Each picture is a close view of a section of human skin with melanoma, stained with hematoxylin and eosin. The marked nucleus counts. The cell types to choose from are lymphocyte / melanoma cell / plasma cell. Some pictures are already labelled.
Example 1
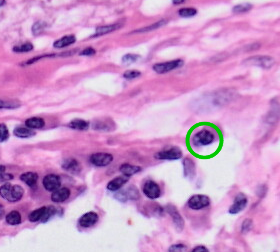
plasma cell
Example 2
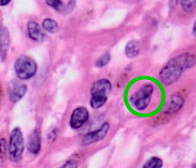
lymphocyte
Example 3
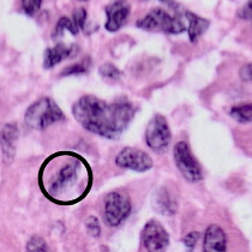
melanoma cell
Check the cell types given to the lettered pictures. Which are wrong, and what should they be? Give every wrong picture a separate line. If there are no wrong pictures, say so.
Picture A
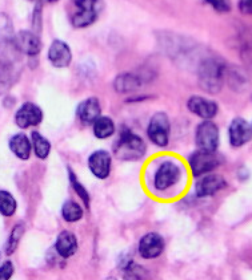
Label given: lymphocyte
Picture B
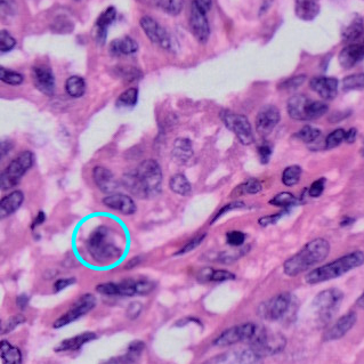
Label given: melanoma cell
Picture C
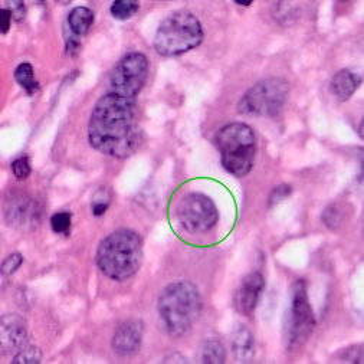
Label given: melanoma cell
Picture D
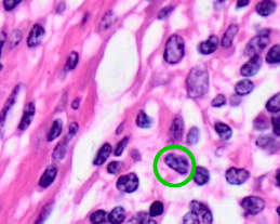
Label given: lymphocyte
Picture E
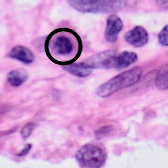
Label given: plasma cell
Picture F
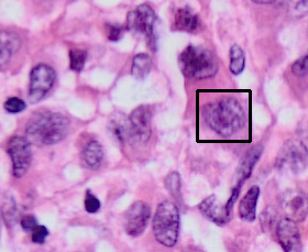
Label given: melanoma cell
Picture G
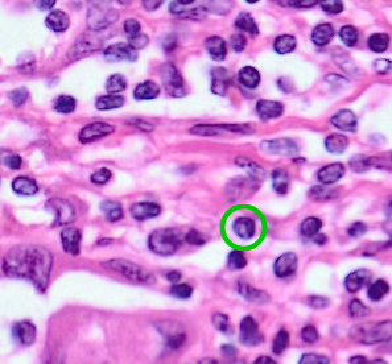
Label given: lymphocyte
None of the labels needs changing.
